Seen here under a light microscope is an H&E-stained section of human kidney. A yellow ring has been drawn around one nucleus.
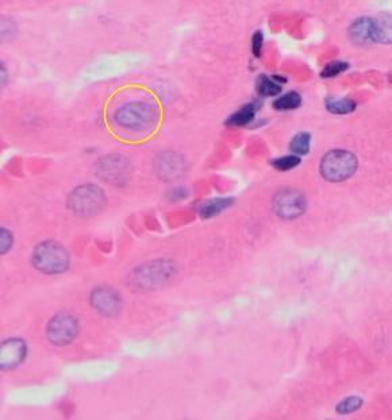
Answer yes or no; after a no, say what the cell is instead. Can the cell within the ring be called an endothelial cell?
No, it is a proximal tubule cell.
